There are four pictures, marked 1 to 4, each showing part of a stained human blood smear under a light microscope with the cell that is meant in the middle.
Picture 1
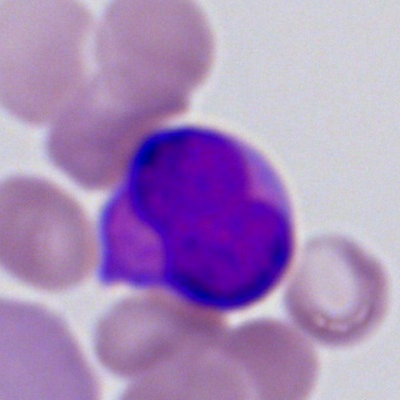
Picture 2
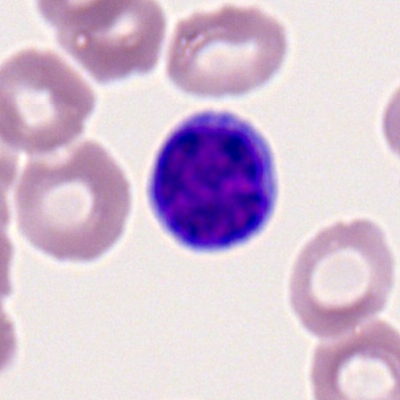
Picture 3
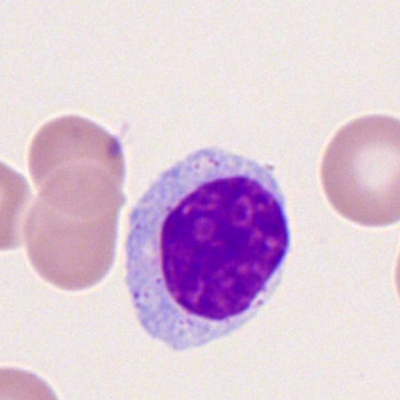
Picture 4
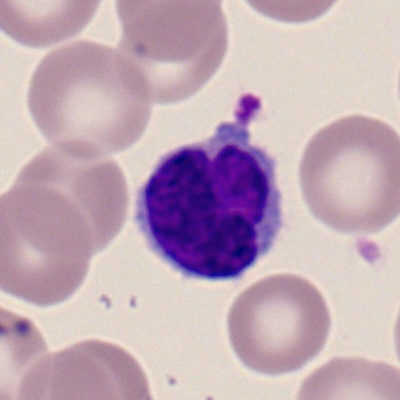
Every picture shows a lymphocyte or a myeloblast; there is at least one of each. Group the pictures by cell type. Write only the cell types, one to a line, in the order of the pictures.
myeloblast
lymphocyte
lymphocyte
lymphocyte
